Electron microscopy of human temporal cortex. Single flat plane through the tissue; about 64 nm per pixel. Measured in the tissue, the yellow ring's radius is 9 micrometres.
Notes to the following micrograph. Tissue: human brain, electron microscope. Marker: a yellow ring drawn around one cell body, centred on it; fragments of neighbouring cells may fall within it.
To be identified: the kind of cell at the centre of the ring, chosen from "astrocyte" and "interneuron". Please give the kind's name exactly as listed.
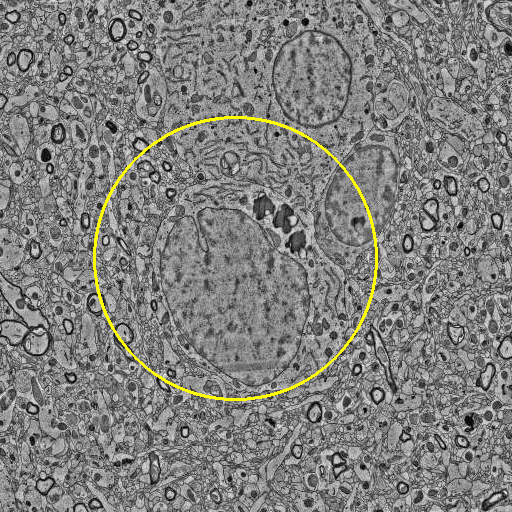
interneuron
